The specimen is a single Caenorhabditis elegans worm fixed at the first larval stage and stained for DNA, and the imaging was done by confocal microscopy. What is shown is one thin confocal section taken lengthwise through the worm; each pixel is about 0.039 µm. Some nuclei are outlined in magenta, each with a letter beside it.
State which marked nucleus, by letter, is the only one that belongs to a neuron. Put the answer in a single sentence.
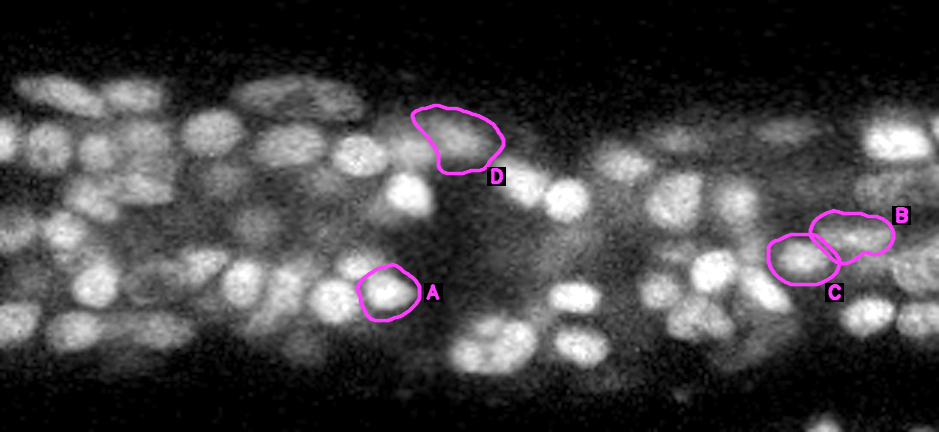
C is the nucleus of a neuron.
